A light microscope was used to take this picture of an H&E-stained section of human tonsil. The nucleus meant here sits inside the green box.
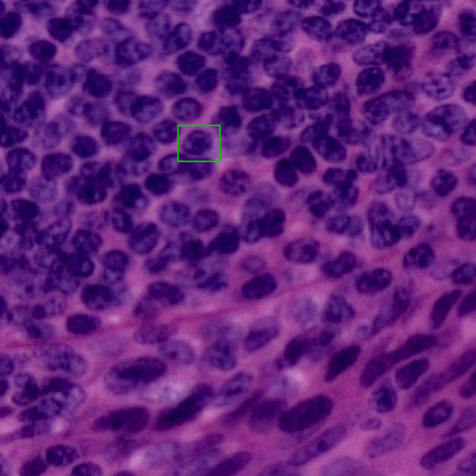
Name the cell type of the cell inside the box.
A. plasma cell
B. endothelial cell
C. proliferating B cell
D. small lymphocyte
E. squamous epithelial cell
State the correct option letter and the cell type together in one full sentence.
The correct option is D, as the cell inside the box is a small lymphocyte.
